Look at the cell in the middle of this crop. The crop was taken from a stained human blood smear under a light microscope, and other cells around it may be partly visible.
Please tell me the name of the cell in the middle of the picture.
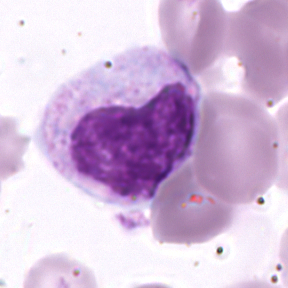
metamyelocyte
